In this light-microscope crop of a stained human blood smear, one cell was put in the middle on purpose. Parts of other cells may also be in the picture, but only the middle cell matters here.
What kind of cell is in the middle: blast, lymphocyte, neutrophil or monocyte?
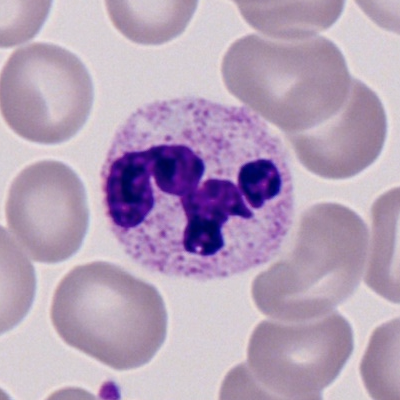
neutrophil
